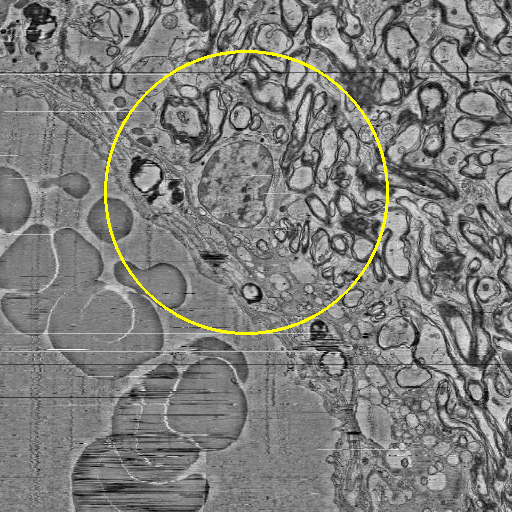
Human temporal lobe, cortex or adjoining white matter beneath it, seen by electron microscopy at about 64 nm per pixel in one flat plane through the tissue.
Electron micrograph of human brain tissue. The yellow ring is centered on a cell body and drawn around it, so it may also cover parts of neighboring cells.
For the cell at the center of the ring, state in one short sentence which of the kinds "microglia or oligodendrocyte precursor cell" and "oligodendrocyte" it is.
This ring is centered on a microglial cell or oligodendrocyte precursor cell.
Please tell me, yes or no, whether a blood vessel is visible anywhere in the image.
Yes, a blood vessel can be seen.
